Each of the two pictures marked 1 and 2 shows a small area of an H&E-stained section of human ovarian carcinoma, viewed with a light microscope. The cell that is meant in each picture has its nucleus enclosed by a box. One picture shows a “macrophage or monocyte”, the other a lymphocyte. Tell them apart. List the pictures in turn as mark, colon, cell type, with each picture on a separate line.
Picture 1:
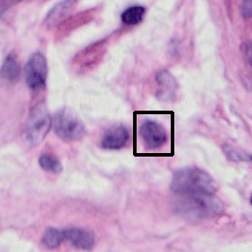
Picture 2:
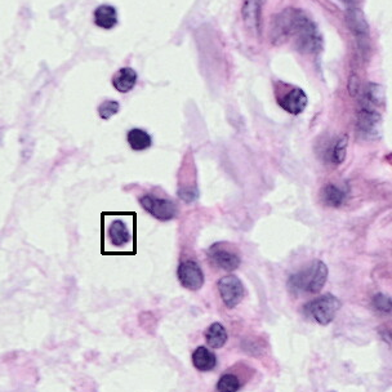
1: macrophage or monocyte
2: lymphocyte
